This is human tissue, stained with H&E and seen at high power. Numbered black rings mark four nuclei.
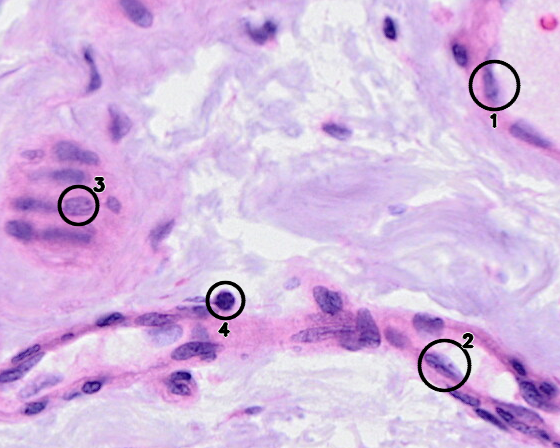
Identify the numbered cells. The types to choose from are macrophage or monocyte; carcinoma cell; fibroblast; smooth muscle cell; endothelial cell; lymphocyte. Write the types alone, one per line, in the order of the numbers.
endothelial cell
endothelial cell
smooth muscle cell
lymphocyte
